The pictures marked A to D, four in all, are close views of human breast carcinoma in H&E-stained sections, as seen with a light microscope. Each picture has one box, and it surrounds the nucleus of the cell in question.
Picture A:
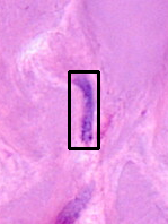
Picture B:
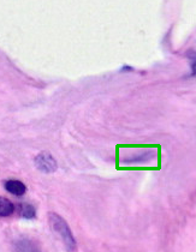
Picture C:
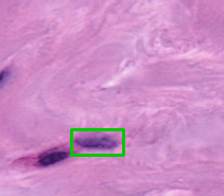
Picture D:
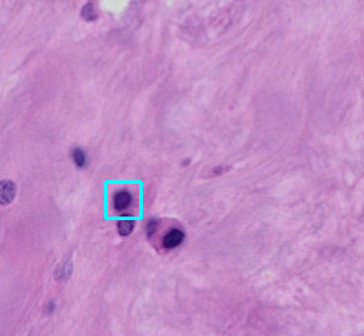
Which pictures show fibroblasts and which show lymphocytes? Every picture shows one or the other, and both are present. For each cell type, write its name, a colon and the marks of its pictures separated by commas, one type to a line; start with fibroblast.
fibroblast: A, B, C
lymphocyte: D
